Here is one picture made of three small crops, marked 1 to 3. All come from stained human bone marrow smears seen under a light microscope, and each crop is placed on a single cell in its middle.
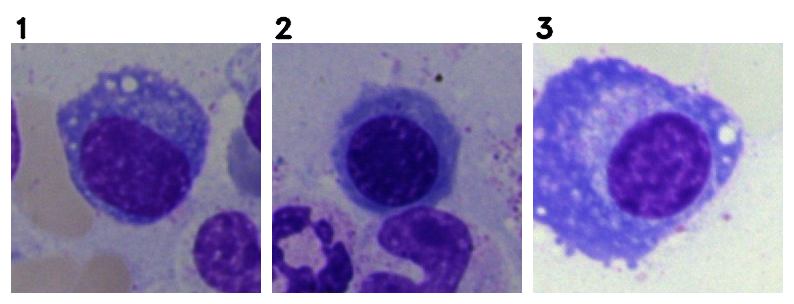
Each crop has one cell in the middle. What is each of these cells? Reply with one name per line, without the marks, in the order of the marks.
plasma cell
erythroblast
plasma cell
